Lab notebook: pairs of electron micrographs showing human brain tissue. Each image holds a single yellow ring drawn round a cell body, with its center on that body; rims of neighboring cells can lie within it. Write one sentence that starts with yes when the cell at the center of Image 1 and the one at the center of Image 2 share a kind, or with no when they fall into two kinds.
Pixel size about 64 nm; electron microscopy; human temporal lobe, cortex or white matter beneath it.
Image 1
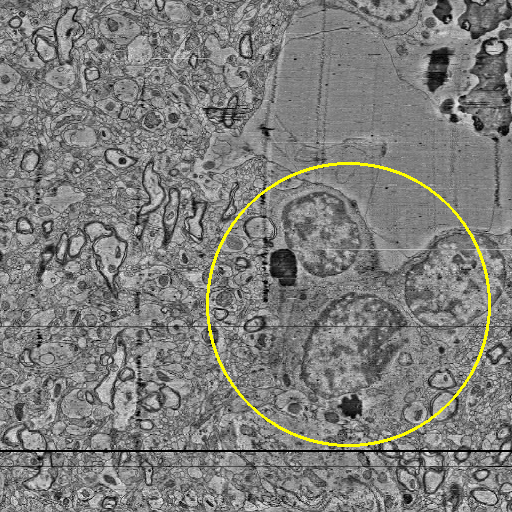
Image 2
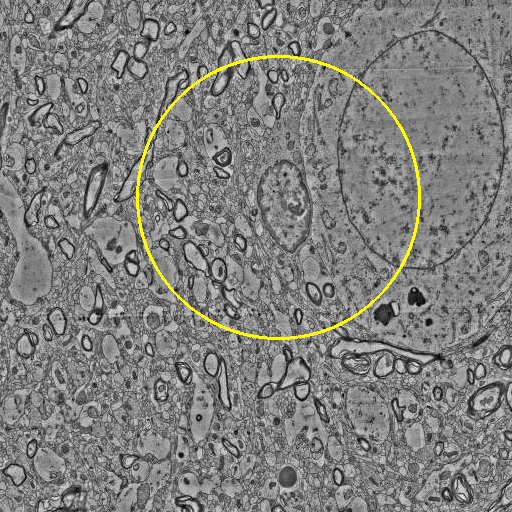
Yes, the centered cell in Image 1 and the centered cell in Image 2 are of one kind.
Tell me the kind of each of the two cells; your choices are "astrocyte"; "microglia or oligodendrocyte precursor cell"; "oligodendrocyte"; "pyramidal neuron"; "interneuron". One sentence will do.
Each of the two cells is an oligodendrocyte.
